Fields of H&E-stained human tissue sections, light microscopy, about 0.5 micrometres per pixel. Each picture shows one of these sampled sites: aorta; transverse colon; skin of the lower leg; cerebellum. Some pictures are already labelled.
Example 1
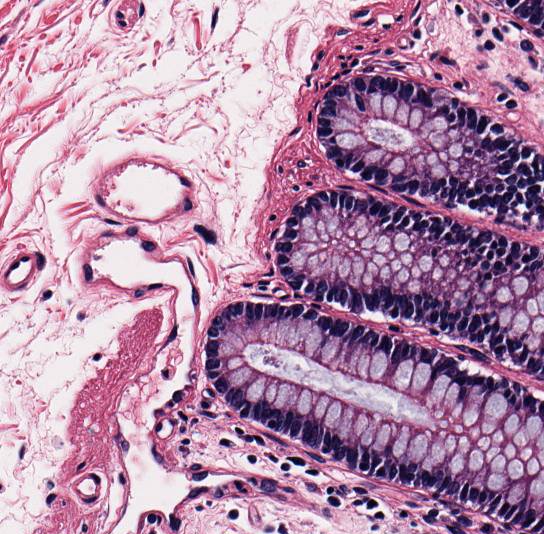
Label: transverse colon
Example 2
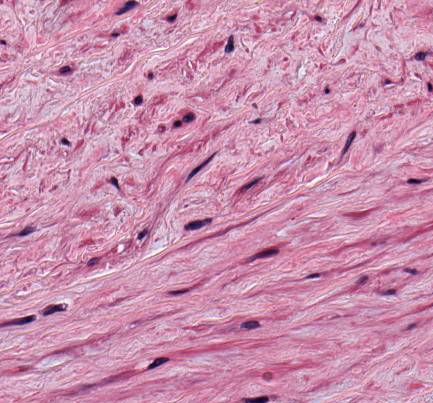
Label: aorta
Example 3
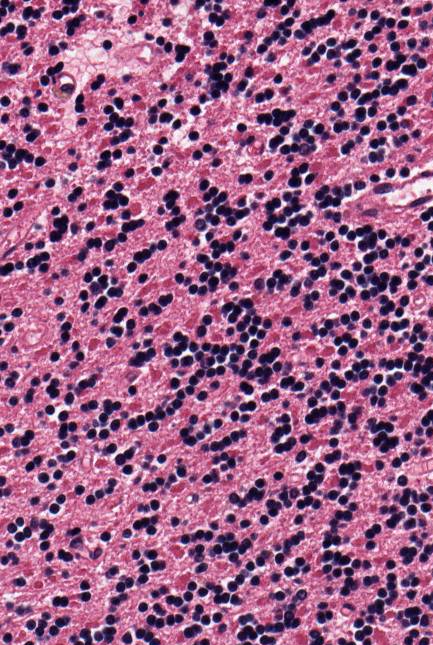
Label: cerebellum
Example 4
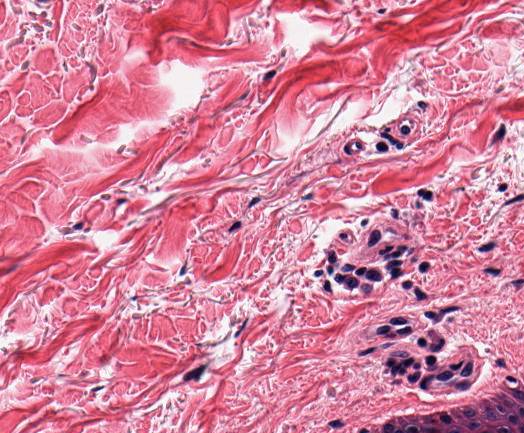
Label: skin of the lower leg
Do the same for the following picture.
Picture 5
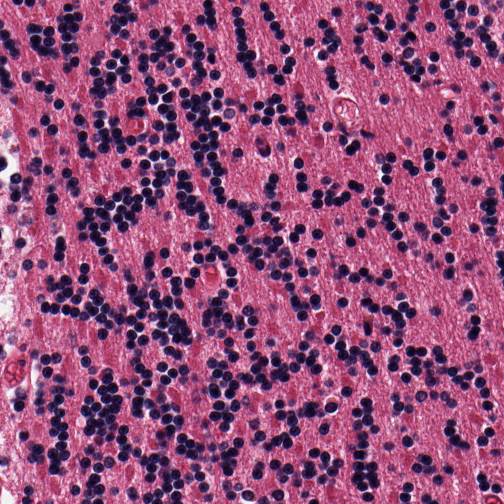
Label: cerebellum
